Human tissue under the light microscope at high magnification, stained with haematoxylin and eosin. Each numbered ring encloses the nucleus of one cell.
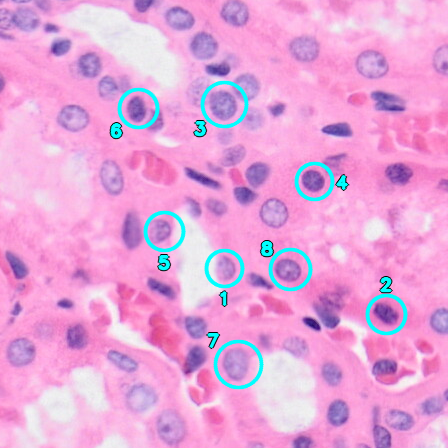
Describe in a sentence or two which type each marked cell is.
Cells 1, 5 and 7 are loop of Henle or distal tubule cells. Cells 2, 4 and 8 are proximal tubule cells. Cells 3 and 6 are collecting duct cells.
